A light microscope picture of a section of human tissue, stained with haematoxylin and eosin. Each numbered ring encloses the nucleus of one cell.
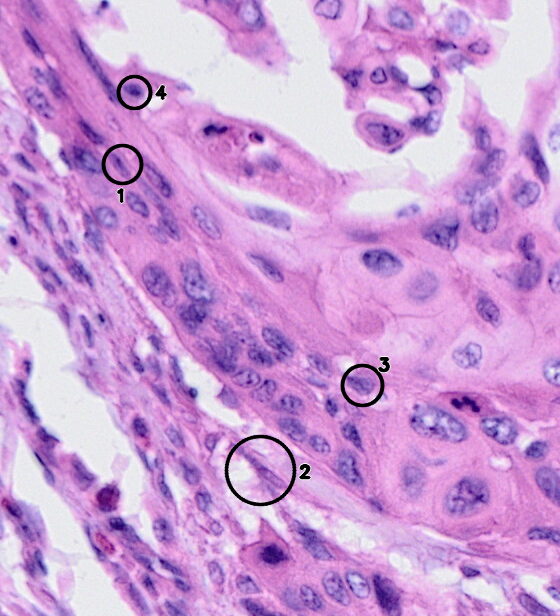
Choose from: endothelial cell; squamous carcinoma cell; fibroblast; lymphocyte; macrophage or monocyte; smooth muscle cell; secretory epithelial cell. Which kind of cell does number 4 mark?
squamous carcinoma cell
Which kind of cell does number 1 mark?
squamous carcinoma cell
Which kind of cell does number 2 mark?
fibroblast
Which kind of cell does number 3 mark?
squamous carcinoma cell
